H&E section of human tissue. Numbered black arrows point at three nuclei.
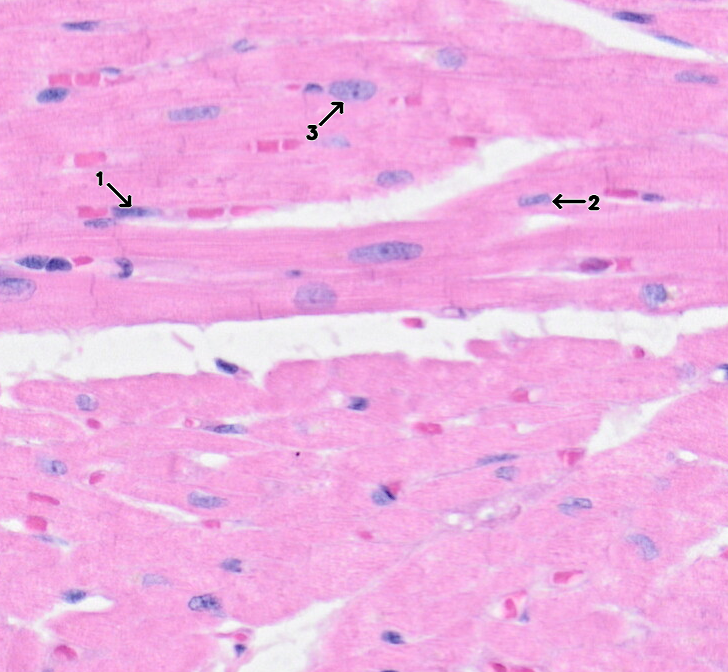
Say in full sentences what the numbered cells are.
Cell 1 is an endothelial cell, cell 2 is a cardiomyocyte and cell 3 is a cardiomyocyte.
